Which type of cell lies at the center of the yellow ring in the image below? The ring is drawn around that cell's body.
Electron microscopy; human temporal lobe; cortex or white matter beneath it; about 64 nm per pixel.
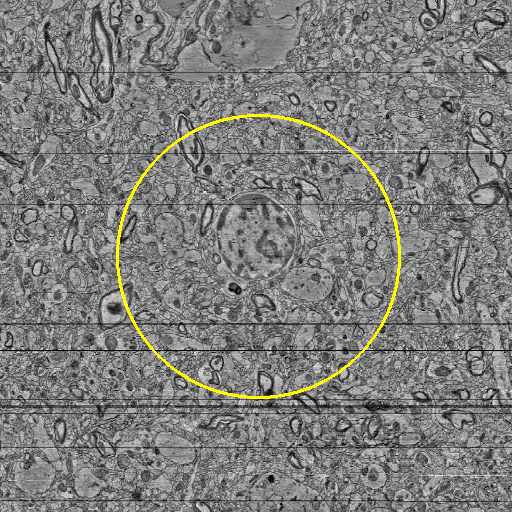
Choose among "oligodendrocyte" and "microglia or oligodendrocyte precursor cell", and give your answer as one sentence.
The cell body at the center belongs to a microglial cell or oligodendrocyte precursor cell.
